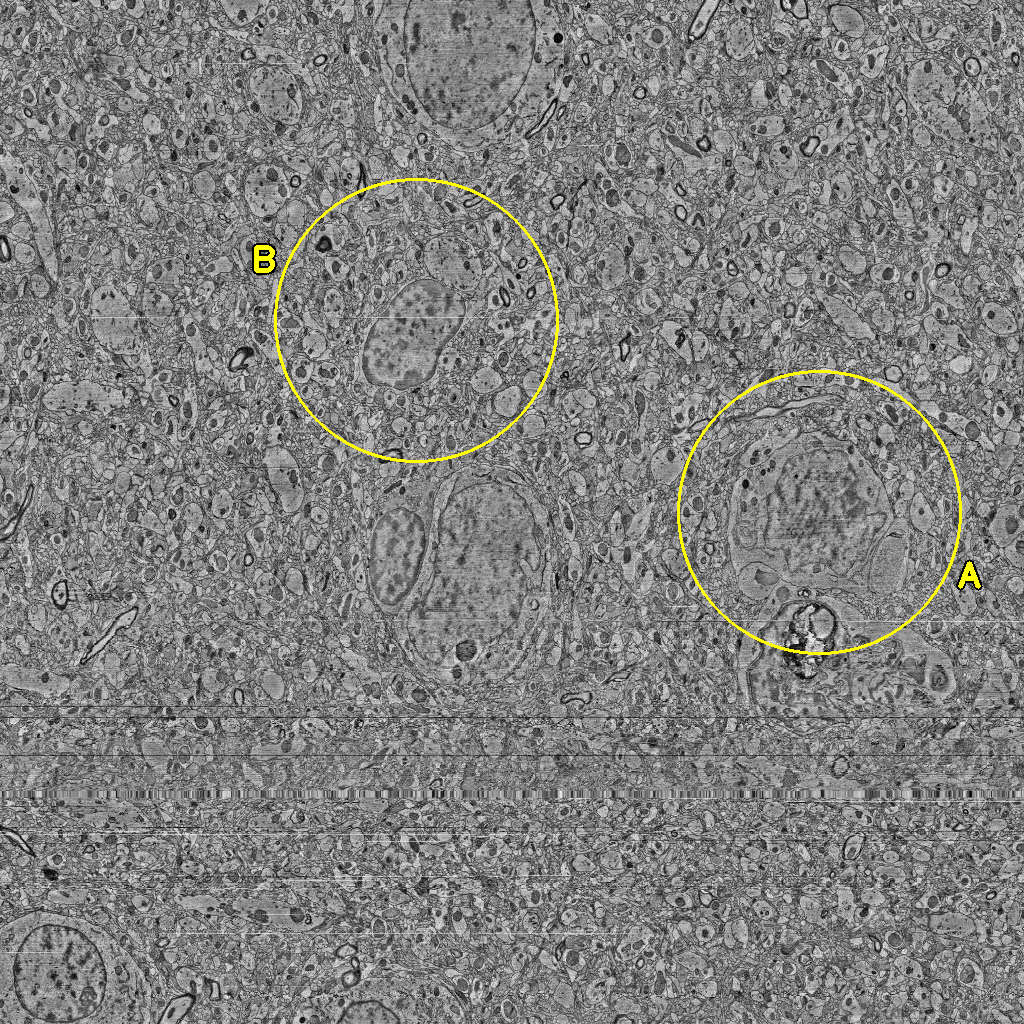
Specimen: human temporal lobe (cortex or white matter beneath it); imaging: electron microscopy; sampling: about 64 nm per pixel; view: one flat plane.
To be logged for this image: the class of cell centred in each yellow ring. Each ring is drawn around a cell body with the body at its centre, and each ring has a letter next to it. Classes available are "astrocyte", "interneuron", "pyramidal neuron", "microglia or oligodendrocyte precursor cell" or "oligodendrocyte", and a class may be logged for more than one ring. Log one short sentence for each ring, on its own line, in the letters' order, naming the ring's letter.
The class recorded for ring A is an interneuron.
The class recorded for ring B is a microglial cell or oligodendrocyte precursor cell.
